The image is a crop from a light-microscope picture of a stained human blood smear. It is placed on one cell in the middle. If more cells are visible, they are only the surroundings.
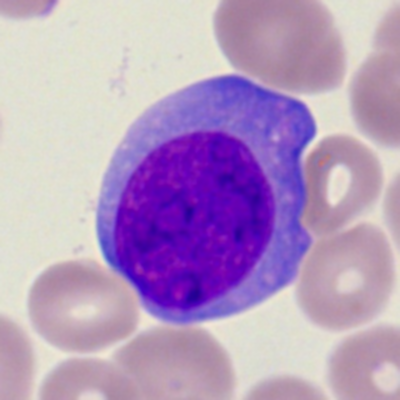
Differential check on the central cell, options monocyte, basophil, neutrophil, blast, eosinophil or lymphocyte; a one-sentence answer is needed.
Occupying the centre of the crop is a blast.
